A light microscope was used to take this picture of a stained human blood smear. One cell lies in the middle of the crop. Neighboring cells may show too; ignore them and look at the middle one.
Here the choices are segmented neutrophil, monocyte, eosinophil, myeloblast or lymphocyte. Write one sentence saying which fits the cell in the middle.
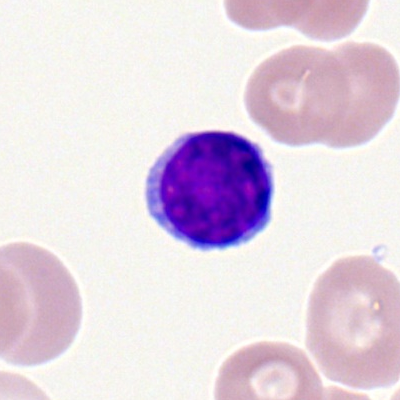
This crop has a lymphocyte at its centre.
